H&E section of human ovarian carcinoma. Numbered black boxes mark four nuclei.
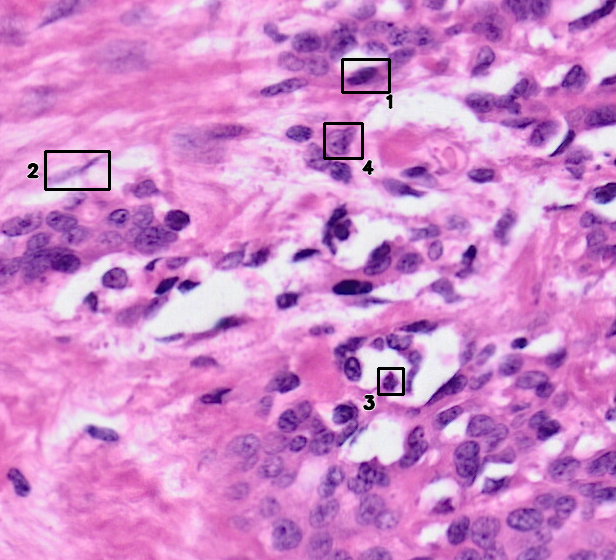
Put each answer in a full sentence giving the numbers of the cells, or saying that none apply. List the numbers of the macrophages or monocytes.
Cell 4 is a macrophage or monocyte and is the only numbered cell of that kind.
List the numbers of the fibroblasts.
The numbered cells include exactly one that is a fibroblast, which is cell 2.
